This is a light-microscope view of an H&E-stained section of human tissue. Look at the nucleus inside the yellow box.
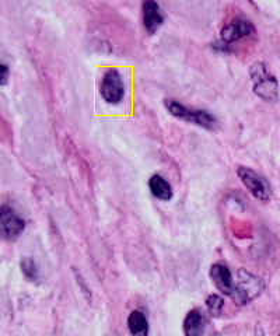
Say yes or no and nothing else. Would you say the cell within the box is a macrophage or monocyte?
no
